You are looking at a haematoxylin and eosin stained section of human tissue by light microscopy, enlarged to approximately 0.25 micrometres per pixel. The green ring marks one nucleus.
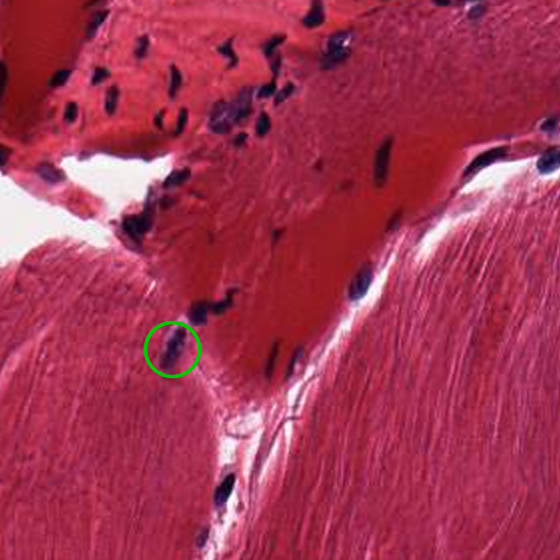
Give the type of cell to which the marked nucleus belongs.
skeletal muscle fibre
